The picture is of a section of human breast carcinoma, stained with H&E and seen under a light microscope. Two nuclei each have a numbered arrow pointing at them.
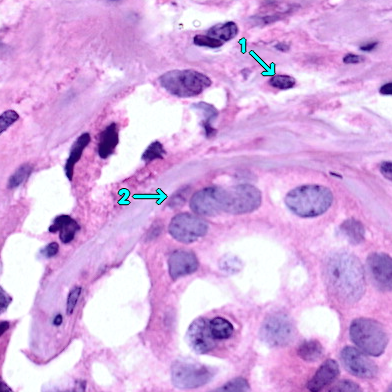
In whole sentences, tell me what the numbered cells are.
Cell 1 is a mast cell and cell 2 is a carcinoma cell.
